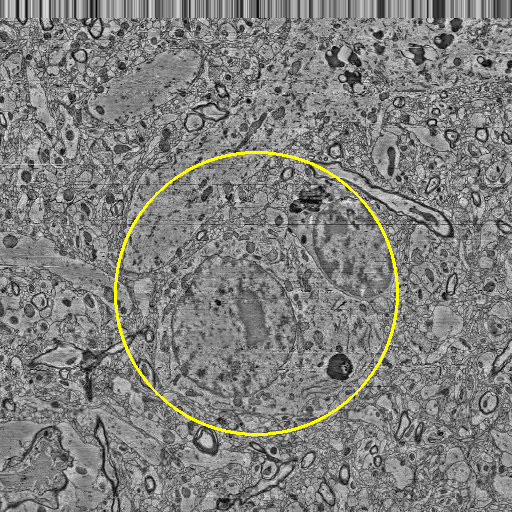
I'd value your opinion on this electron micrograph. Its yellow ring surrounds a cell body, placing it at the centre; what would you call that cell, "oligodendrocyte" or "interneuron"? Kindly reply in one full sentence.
It is an interneuron that sits centred within the yellow ring in this micrograph.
